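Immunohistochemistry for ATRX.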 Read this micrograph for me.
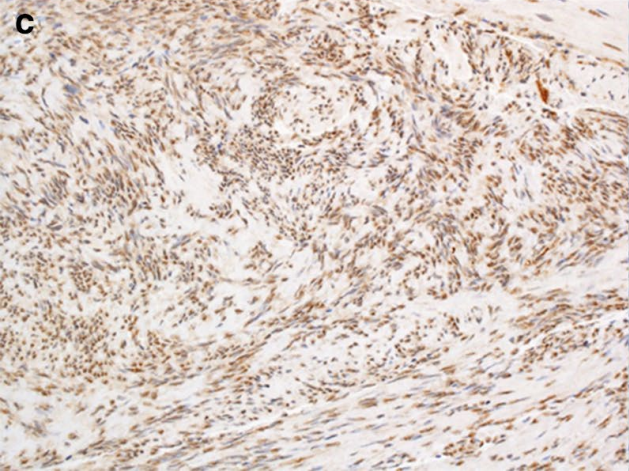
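Densely cellular tissue of spindle-shaped cells with elongated nuclei arranged in interlacing, streaming bundles. Nearly all nuclei are stained brown, standing out against a pale, paucicellular background between the bundles.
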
